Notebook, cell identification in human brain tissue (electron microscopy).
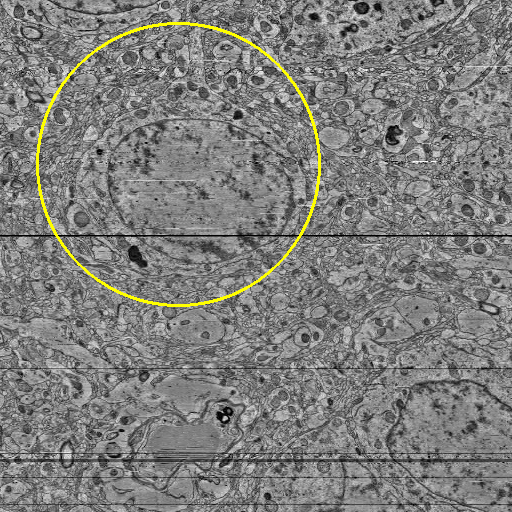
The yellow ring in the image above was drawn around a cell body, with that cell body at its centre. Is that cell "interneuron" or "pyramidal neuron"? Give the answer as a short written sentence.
The cell in the ring is a pyramidal neuron.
